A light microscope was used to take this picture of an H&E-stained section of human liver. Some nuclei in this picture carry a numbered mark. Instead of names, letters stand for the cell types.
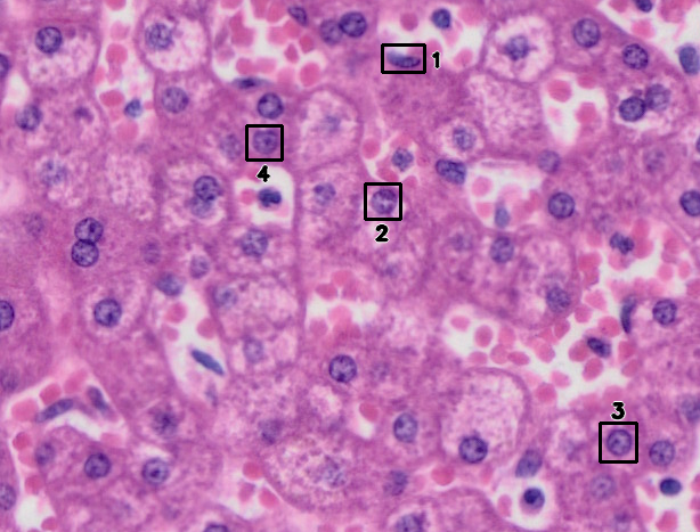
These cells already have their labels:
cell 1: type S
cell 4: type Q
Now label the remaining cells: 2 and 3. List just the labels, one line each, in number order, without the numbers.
type Q
type Q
